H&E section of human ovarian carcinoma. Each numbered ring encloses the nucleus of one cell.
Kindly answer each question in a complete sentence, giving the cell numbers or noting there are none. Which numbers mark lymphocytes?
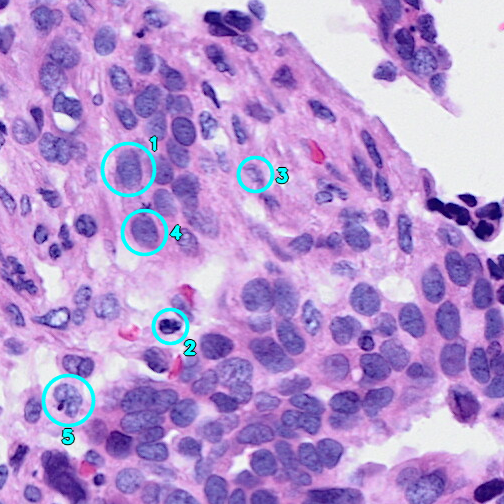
Cell 2 is a lymphocyte, while all remaining marked cells are of other types.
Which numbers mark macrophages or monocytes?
There is only one numbered cell that is a macrophage or monocyte, and it is cell 5.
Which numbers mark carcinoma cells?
The cells which carry the numbers 1 and 4 are carcinoma cells.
